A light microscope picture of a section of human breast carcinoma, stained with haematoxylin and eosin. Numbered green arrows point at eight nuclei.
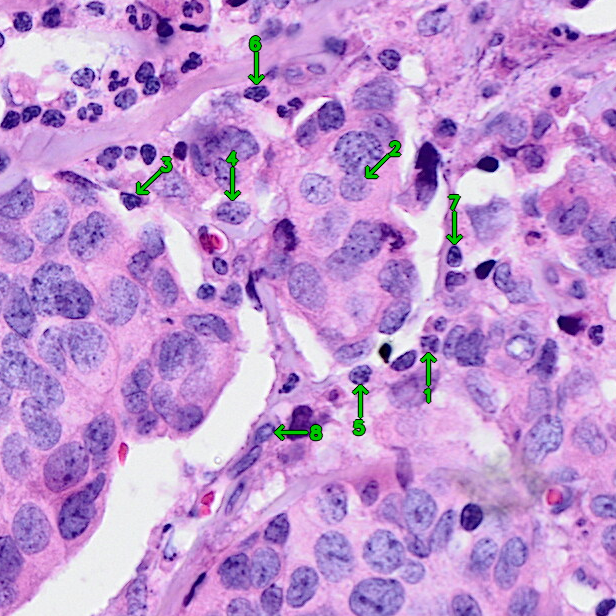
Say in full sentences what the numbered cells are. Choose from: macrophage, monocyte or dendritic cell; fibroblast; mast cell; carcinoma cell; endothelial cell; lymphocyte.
Cell 1 is a lymphocyte, cell 2 is a carcinoma cell, cell 3 is a lymphocyte, cell 4 is a macrophage, monocyte or dendritic cell, cell 5 is a lymphocyte, cell 6 is a lymphocyte, cell 7 is a lymphocyte and cell 8 is an endothelial cell.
